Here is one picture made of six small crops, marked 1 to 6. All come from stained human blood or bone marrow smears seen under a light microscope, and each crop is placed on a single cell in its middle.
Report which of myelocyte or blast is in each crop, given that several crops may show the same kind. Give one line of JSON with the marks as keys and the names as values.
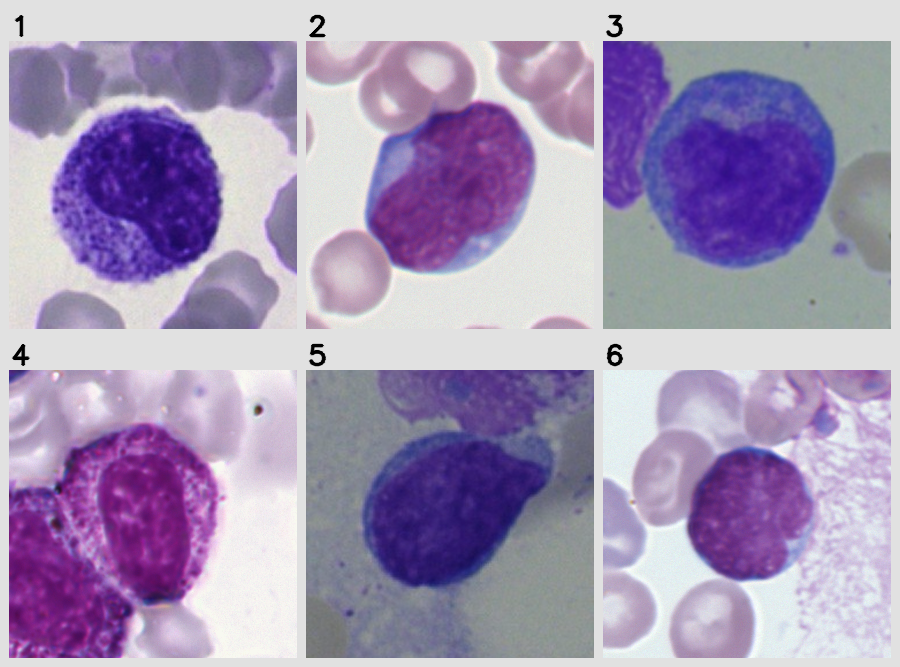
{"1": "myelocyte", "2": "blast", "3": "blast", "4": "myelocyte", "5": "blast", "6": "blast"}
